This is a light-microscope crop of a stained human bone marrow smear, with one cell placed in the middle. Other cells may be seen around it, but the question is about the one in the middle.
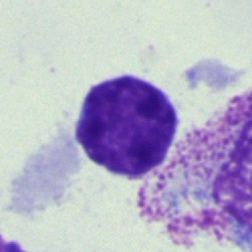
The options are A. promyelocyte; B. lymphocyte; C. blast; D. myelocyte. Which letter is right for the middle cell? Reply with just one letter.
B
